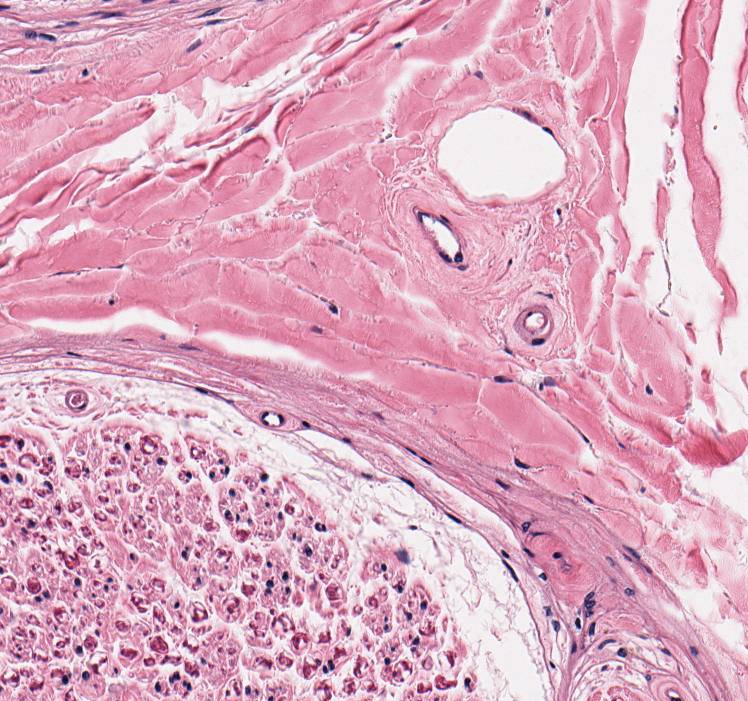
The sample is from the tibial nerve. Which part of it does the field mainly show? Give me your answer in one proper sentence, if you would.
This histology image has as its subject the part called epineurium.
